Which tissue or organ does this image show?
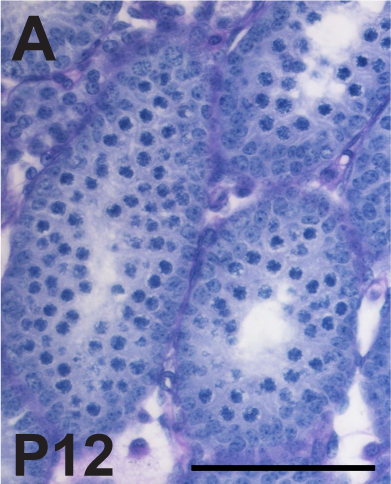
Seminiferous tubules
